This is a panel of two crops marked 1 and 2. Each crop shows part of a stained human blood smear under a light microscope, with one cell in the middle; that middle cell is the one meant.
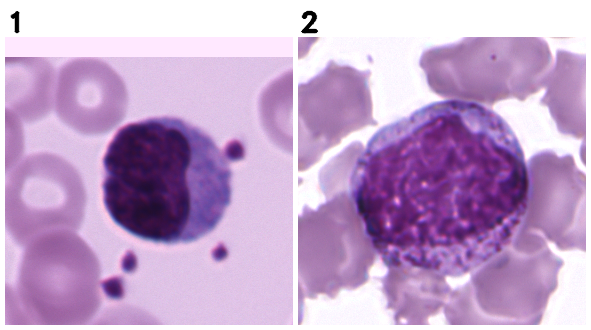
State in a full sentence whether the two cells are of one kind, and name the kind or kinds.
No, crop 1 gives us a monocyte and crop 2 gives us a myelocyte.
